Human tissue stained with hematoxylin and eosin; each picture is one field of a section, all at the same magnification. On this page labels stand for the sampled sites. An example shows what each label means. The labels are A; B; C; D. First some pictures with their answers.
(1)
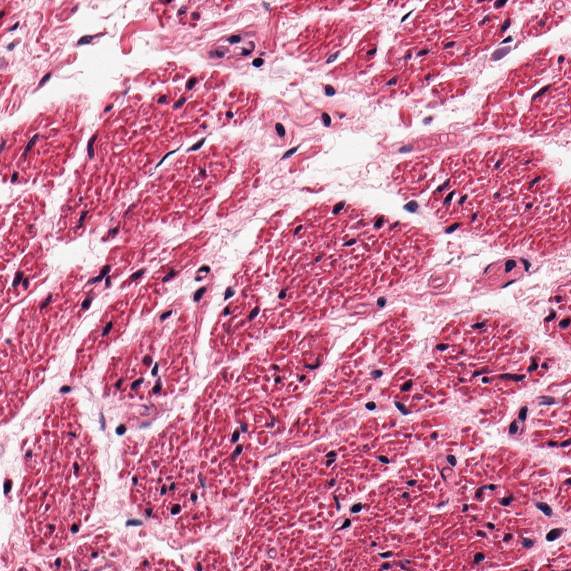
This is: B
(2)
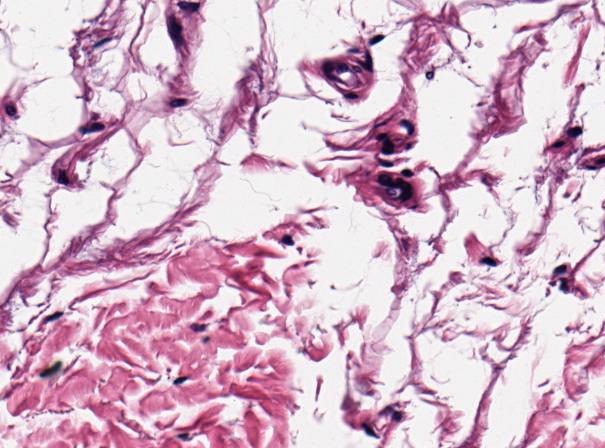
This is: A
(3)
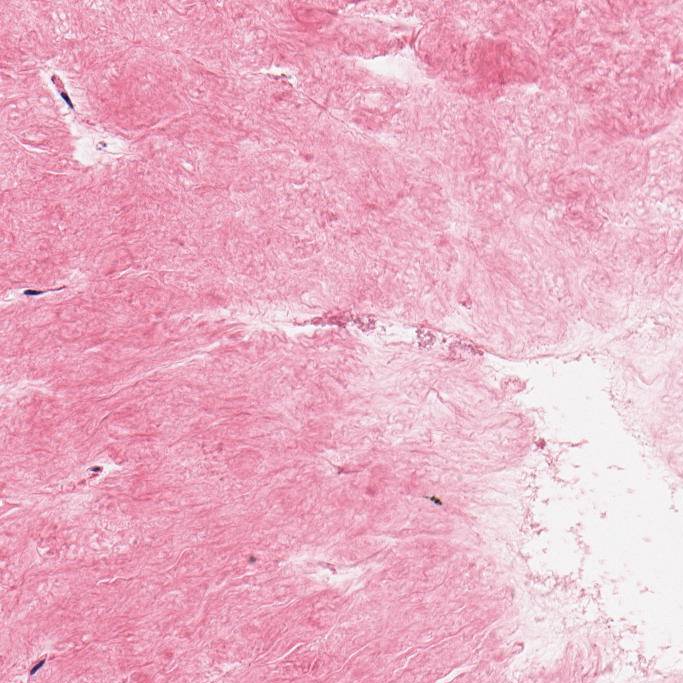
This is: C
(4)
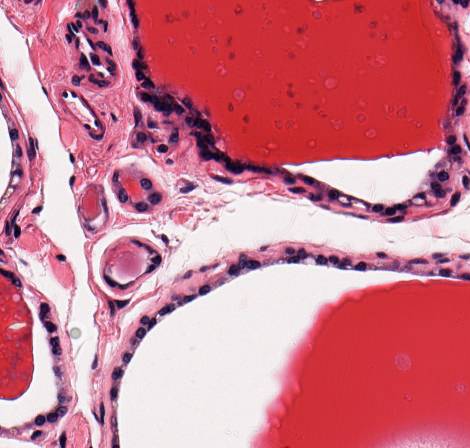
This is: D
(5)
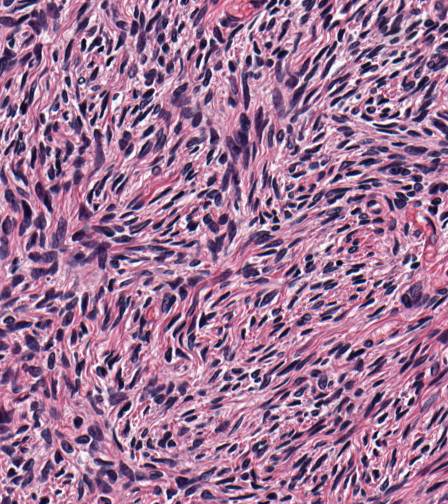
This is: C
